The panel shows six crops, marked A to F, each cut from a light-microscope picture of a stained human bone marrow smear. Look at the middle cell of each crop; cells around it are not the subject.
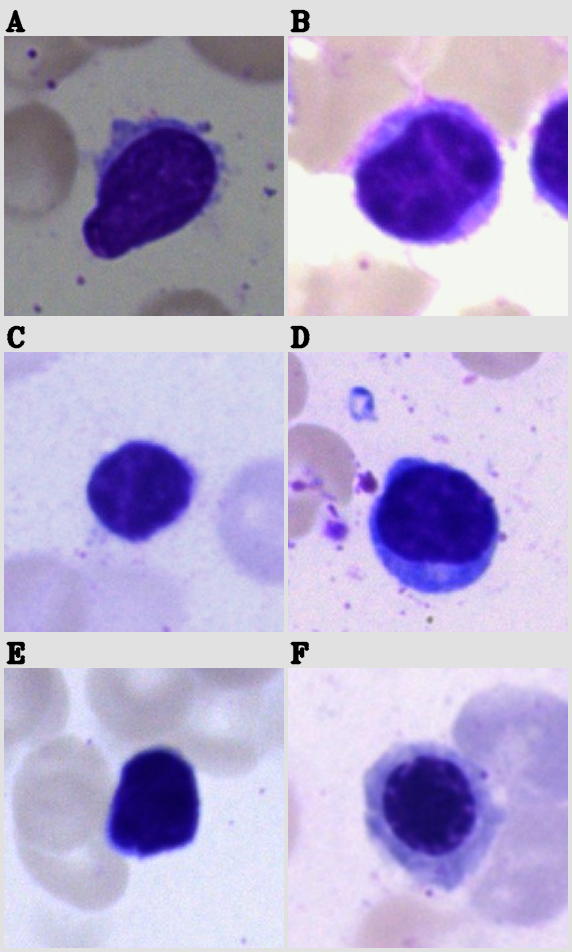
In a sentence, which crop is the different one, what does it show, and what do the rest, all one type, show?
For this set, crop F is an erythroblast, and all the rest are lymphocytes.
